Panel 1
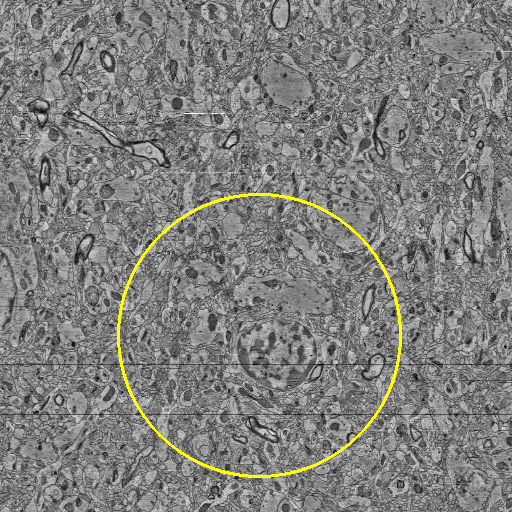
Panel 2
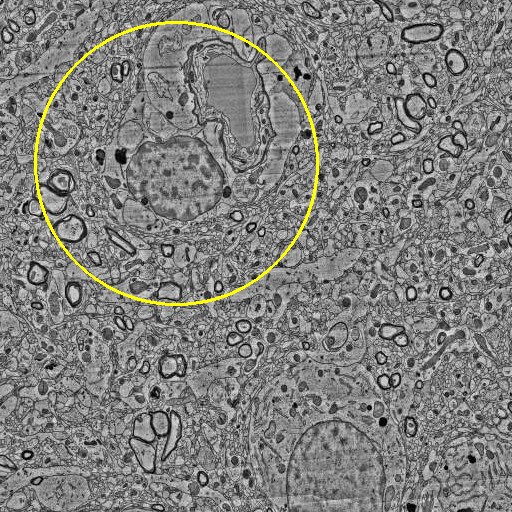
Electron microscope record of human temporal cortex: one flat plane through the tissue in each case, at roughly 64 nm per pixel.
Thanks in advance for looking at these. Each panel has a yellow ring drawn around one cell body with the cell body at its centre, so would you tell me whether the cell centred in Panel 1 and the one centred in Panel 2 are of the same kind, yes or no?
yes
